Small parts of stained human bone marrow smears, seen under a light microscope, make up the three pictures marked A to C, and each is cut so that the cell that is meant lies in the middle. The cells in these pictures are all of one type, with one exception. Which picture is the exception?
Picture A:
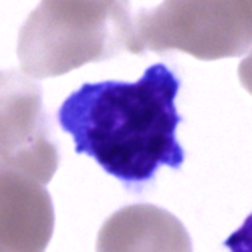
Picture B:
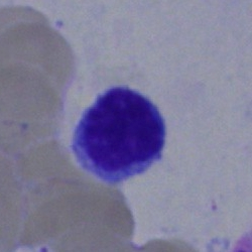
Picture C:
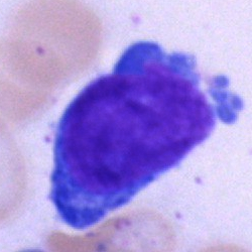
B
